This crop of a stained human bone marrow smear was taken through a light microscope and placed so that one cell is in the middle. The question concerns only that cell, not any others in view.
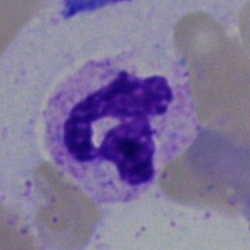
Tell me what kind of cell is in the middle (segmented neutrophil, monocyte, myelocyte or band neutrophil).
segmented neutrophil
